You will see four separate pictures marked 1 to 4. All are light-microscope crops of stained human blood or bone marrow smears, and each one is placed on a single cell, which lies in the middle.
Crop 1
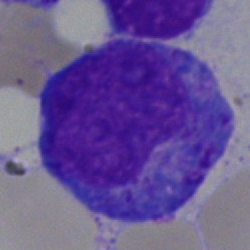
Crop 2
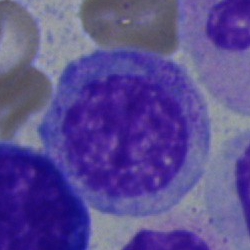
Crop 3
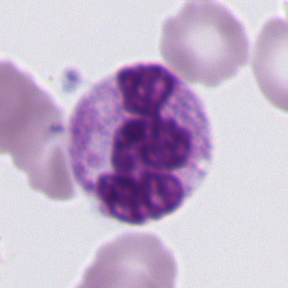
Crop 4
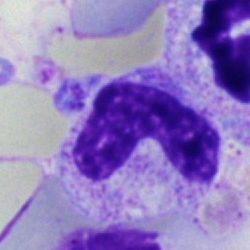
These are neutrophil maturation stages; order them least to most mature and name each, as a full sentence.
The sequence of maturation runs crop 1 (a promyelocyte), crop 2 (a myelocyte), crop 4 (a band neutrophil) and crop 3 (a segmented neutrophil), from least to most mature.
